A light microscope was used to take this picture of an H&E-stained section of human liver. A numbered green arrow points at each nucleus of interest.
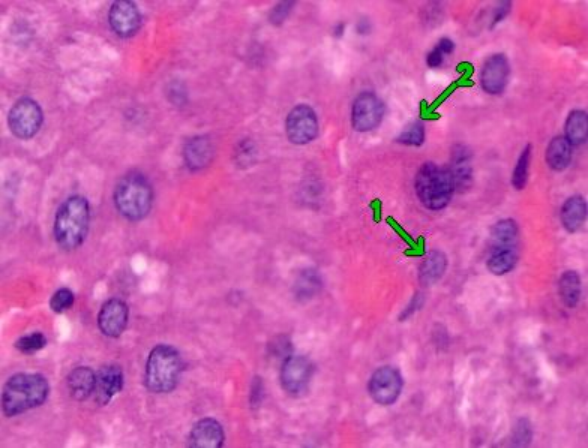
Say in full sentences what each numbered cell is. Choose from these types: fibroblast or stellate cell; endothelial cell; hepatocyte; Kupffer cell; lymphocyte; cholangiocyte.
Cell 1 is a hepatocyte and cell 2 is a fibroblast or stellate cell.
